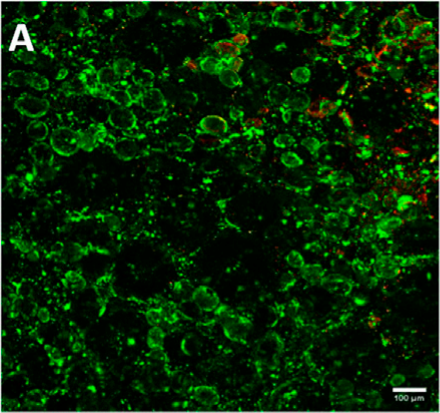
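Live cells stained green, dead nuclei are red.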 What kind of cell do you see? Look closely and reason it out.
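Adipocytes. Many large rounded profiles outlined by a thin green ring with darker centres. The round profiles are several tens of micrometres across compared with the 100 μm scale bar. Smaller green dots and specks lie between the rounded profiles.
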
